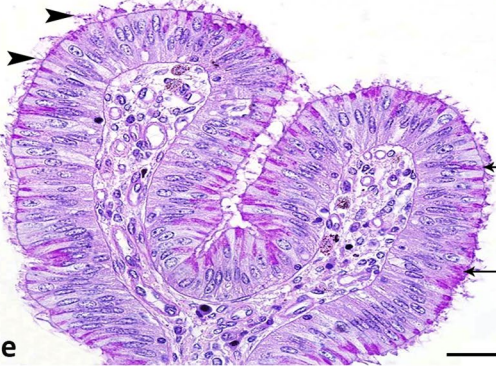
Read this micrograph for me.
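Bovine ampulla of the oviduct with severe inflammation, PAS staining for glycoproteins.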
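Two adjoining mucosal folds are lined by tall columnar epithelial cells with elongated purple nuclei set at different heights, and a fringed, ciliated luminal border. Many of the lining cells show intense magenta staining in their apical cytoplasm, forming bright streaks along the epithelium. The core of each fold is loose connective tissue with small vessels, scattered round cells and a few brown pigmented clusters.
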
